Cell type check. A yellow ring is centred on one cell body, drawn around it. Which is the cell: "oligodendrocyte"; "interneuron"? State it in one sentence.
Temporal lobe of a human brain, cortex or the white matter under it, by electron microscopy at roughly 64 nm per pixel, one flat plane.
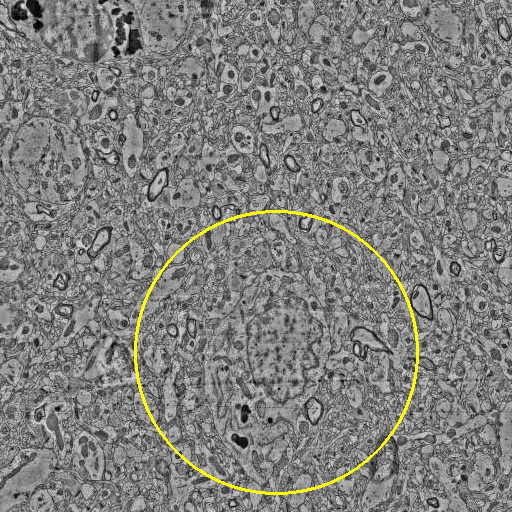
The cell body at the ring's centre belongs to an interneuron.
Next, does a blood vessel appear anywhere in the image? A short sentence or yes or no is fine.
No, a blood vessel is absent from this picture.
